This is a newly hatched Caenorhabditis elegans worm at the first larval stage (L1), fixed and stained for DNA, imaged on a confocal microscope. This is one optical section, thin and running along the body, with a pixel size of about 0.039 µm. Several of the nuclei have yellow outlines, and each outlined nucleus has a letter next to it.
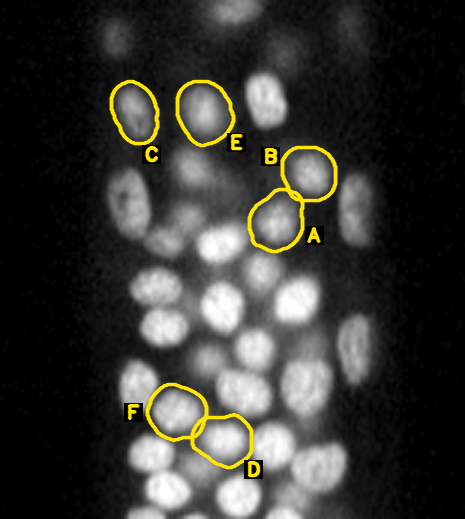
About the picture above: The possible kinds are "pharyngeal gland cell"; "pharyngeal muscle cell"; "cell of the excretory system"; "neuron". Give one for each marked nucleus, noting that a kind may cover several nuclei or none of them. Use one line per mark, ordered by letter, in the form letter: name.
A: pharyngeal gland cell
B: neuron
C: cell of the excretory system
D: neuron
E: pharyngeal muscle cell
F: neuron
